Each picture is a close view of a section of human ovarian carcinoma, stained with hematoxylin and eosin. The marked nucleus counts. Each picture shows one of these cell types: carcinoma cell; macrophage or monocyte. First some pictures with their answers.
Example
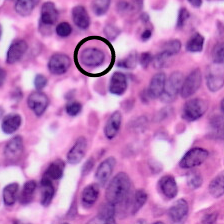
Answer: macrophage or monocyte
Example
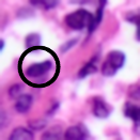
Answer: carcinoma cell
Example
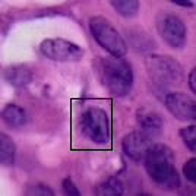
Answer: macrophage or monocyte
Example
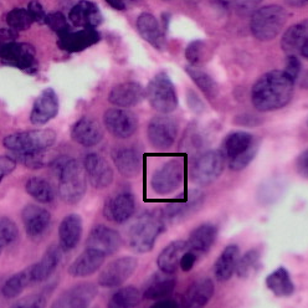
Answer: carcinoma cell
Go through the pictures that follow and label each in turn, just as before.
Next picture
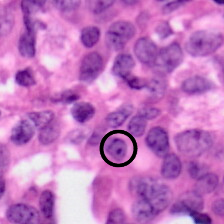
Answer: macrophage or monocyte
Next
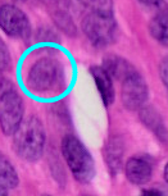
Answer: carcinoma cell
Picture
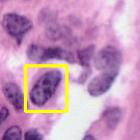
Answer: macrophage or monocyte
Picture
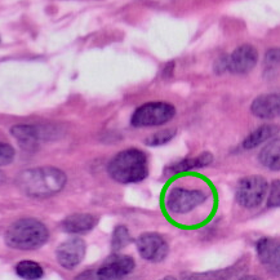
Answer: macrophage or monocyte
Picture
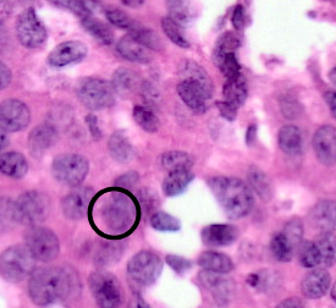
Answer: carcinoma cell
